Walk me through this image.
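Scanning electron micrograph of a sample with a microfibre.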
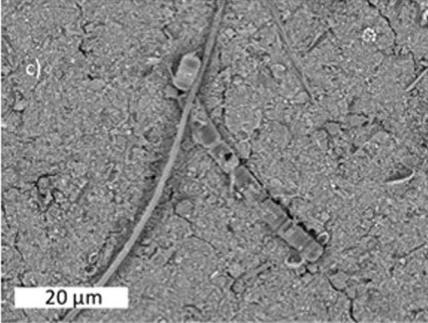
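This shows a thin, smooth fibre lying on a rough, granular, cracked background, with a diatom chain running beside it. The diatoms are small box-shaped silica shells joined end to end into a short, slightly bent row, each unit of similar size with straight edges and visible seams between neighbours. A second, fainter fibre crosses nearby.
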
